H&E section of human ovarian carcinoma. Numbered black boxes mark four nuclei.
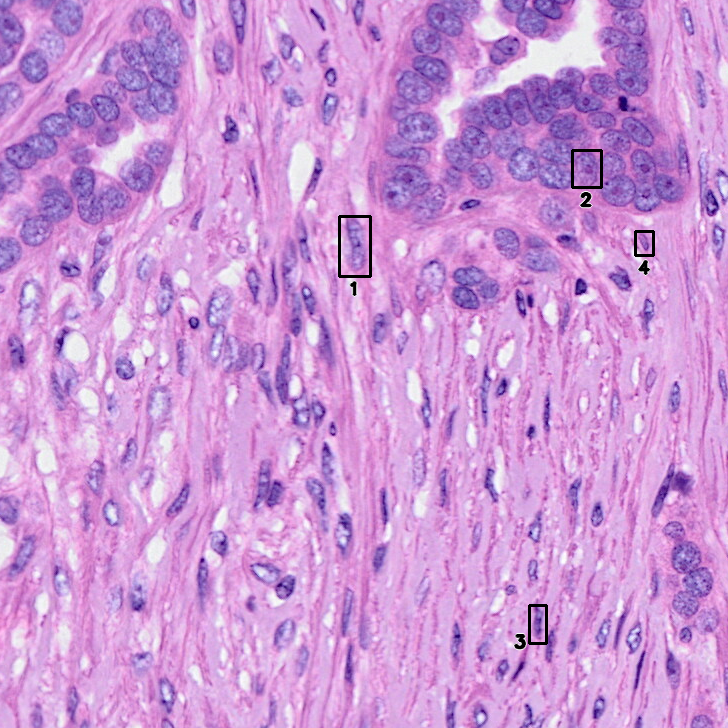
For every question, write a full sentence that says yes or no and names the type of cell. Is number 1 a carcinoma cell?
No, cell 1 is a fibroblast, not a carcinoma cell.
